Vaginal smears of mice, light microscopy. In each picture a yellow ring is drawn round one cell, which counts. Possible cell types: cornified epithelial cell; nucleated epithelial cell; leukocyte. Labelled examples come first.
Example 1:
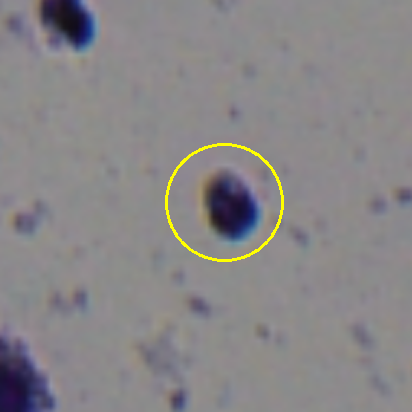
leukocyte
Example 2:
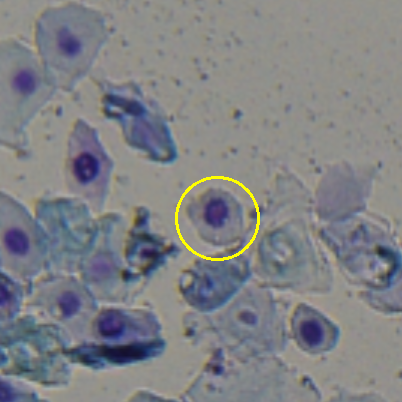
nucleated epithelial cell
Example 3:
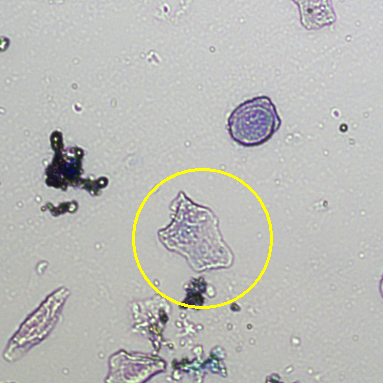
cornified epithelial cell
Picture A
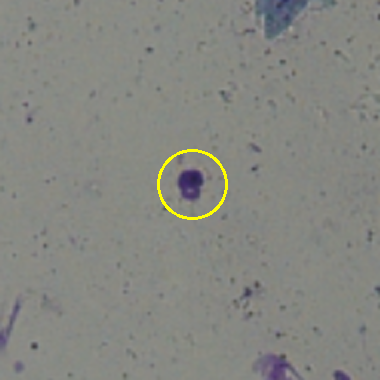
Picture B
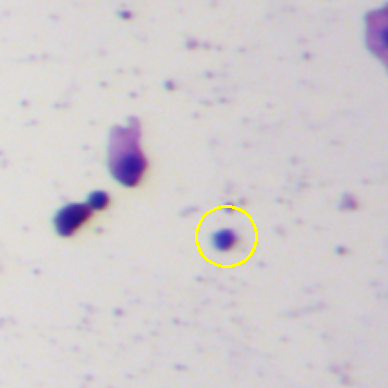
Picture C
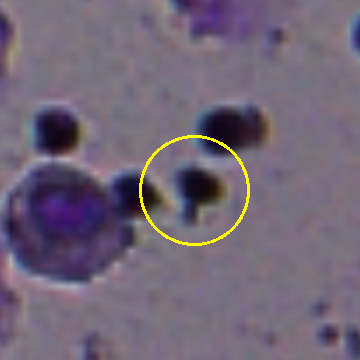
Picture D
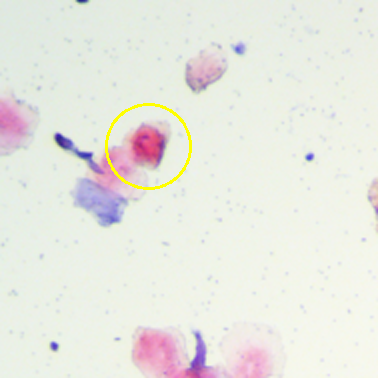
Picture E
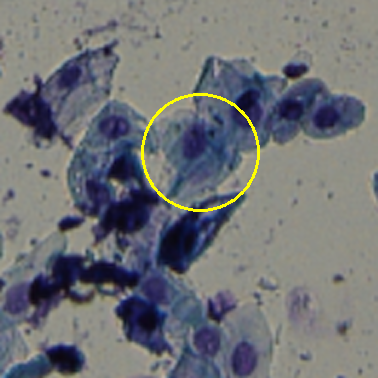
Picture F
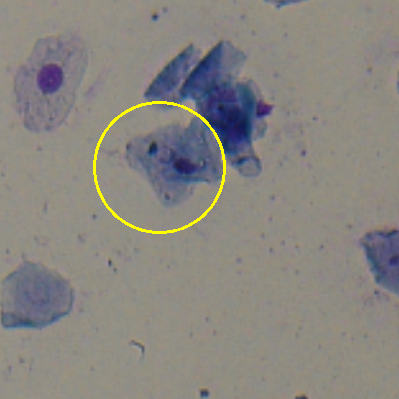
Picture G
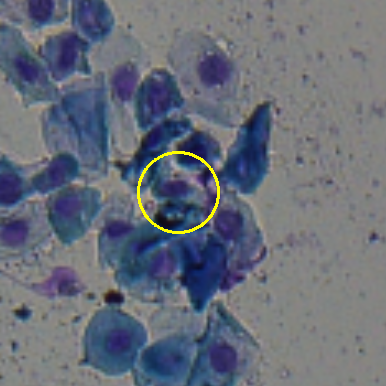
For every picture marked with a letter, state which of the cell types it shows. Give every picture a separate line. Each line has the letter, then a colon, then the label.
A: leukocyte
B: leukocyte
C: leukocyte
D: cornified epithelial cell
E: nucleated epithelial cell
F: nucleated epithelial cell
G: nucleated epithelial cell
